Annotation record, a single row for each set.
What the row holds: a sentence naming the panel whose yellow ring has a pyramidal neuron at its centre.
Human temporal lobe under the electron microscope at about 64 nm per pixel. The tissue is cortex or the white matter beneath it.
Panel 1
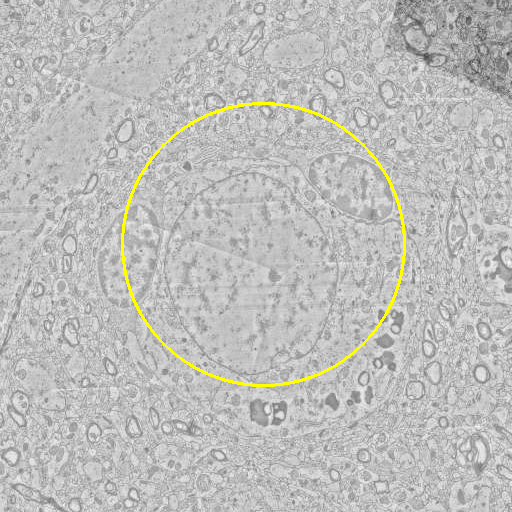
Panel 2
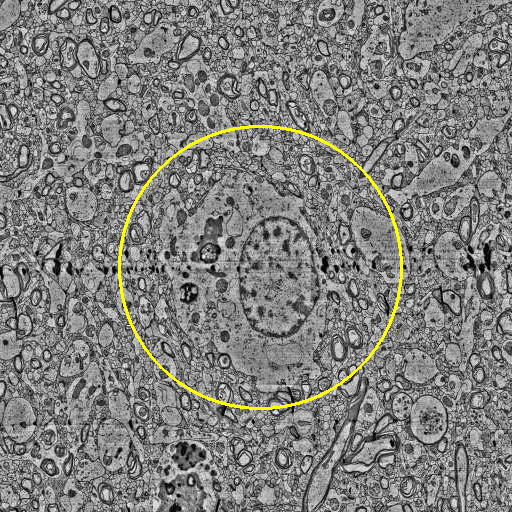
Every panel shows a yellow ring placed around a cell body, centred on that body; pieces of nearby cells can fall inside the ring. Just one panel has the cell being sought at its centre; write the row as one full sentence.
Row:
In panel 1, the cell at the middle of the yellow ring is the one sought.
